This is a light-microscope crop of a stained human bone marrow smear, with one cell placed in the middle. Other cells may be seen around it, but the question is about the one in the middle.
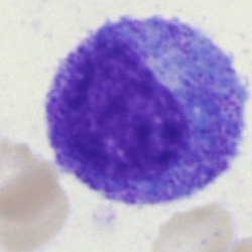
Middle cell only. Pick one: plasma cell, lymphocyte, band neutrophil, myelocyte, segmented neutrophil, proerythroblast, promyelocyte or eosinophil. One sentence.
The cell centered in this field of view is a promyelocyte.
